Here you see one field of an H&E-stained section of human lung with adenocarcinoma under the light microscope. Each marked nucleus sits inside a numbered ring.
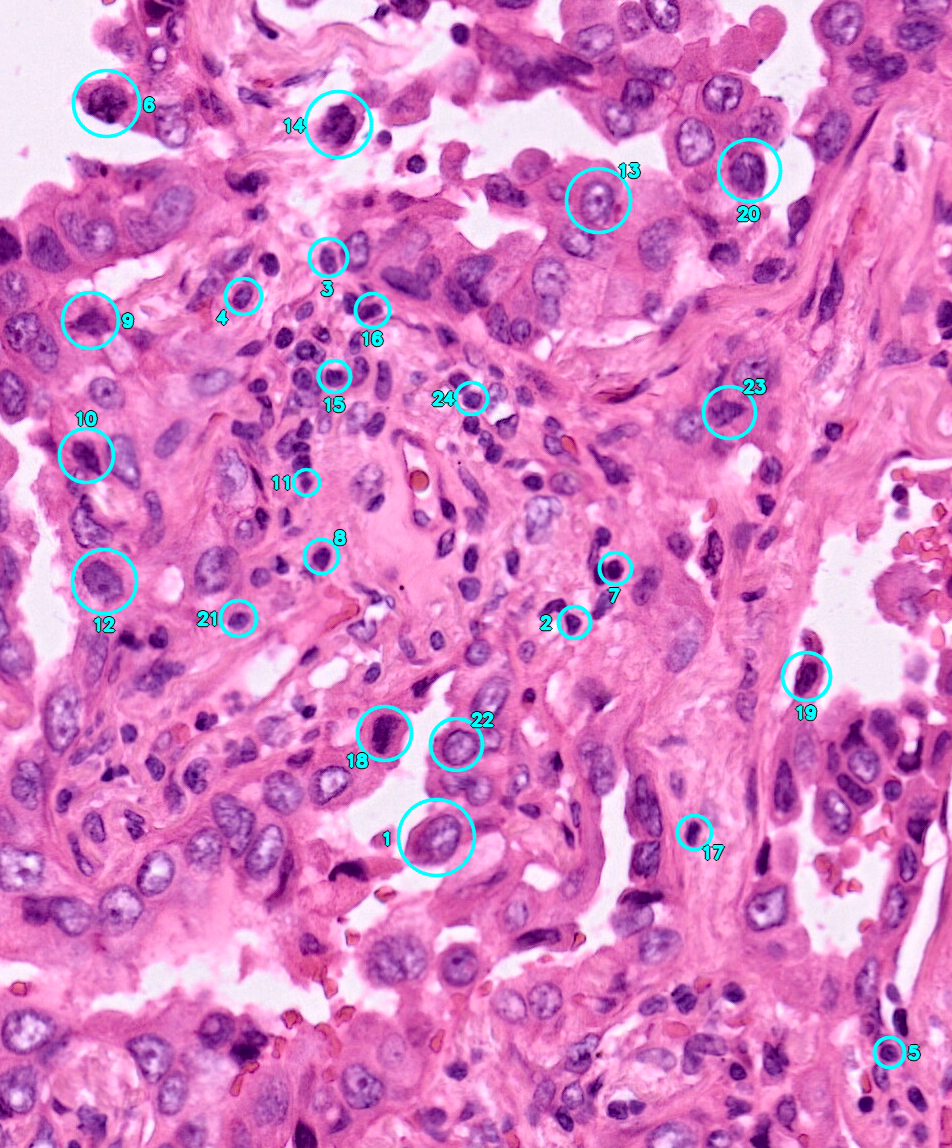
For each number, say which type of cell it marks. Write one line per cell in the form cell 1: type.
cell 1: carcinoma cell
cell 2: lymphocyte
cell 3: lymphocyte
cell 4: mast cell
cell 5: lymphocyte
cell 6: carcinoma cell
cell 7: lymphocyte
cell 8: lymphocyte
cell 9: carcinoma cell
cell 10: carcinoma cell
cell 11: lymphocyte
cell 12: carcinoma cell
cell 13: carcinoma cell
cell 14: carcinoma cell
cell 15: lymphocyte
cell 16: lymphocyte
cell 17: lymphocyte
cell 18: carcinoma cell
cell 19: carcinoma cell
cell 20: carcinoma cell
cell 21: lymphocyte
cell 22: carcinoma cell
cell 23: carcinoma cell
cell 24: lymphocyte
